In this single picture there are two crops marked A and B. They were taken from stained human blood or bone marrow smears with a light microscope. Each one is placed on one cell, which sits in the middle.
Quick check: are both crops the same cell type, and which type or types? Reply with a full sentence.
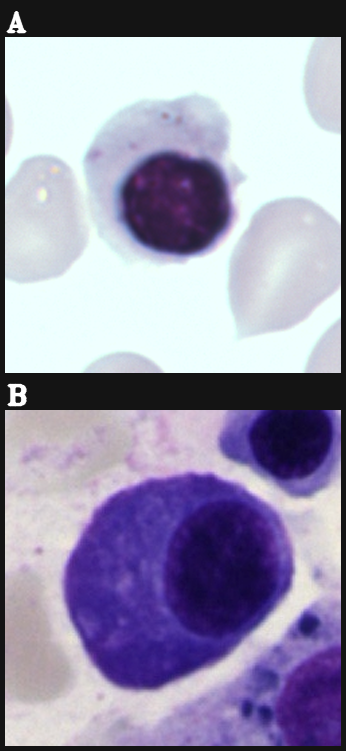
No, crop A presents a normoblast, whereas crop B presents a plasma cell.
